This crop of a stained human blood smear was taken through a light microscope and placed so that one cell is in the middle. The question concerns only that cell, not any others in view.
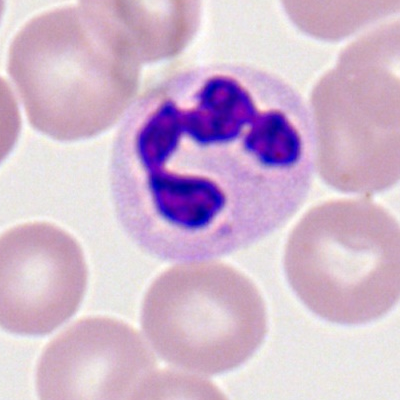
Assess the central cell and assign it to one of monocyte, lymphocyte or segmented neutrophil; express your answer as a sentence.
Classification of the middle cell gives a segmented neutrophil.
